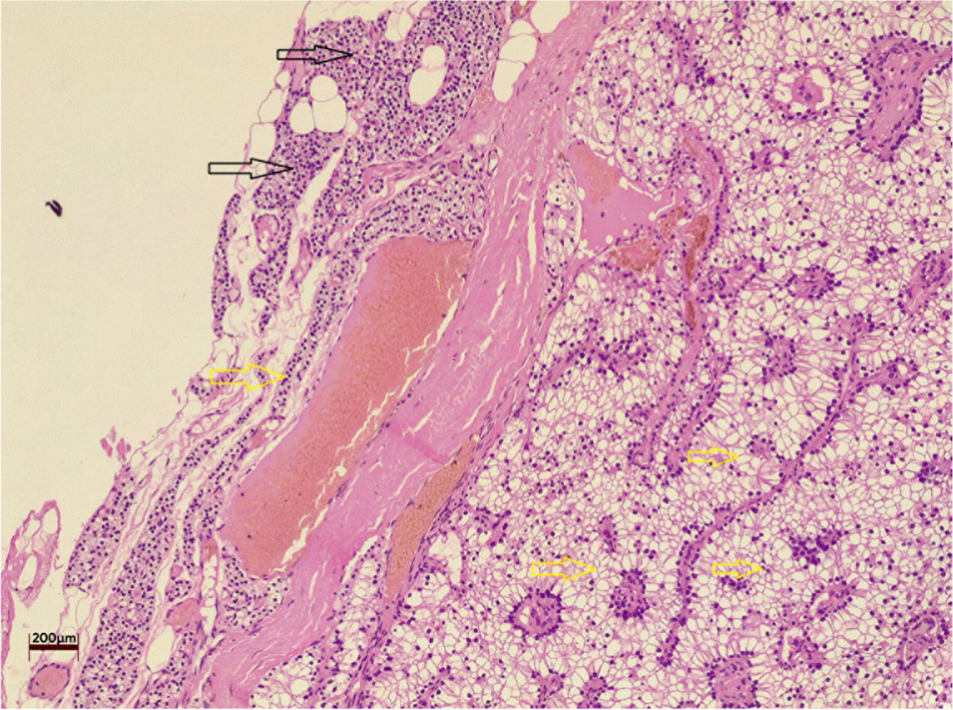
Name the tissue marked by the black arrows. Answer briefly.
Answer: Normal parathyroid tissue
